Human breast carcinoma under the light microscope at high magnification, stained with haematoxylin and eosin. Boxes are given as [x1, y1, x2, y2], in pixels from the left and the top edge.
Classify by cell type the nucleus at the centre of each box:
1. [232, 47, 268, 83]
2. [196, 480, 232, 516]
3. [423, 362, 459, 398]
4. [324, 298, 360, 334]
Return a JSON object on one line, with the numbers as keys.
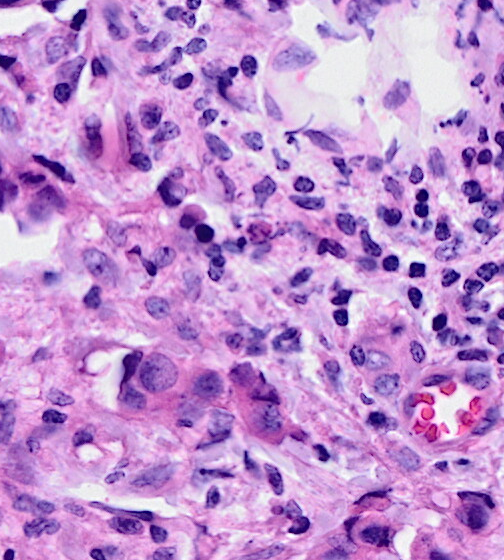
{"1": "lymphocyte", "2": "lymphocyte", "3": "endothelial cell", "4": "lymphocyte"}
